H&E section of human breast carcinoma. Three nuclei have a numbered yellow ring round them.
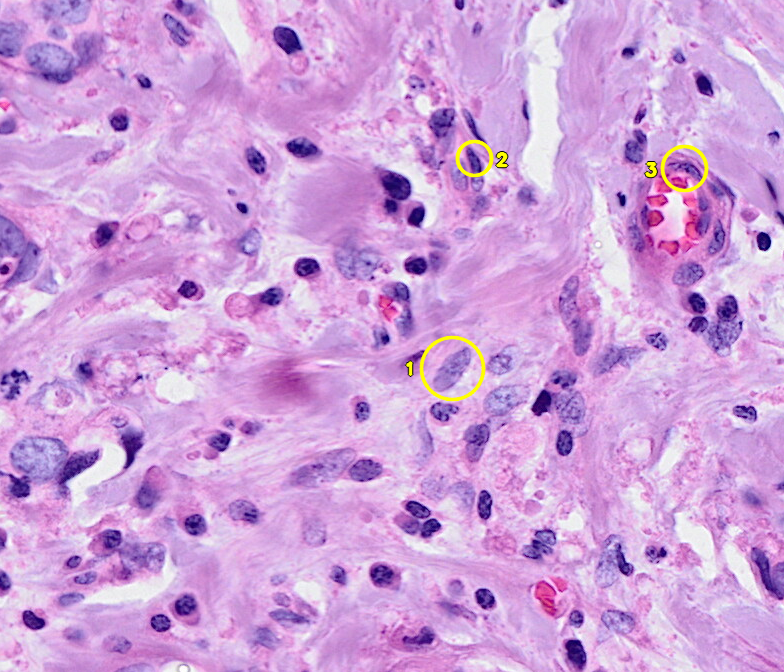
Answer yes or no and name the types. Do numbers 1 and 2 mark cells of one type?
No; cell 1 is a fibroblast, and cell 2 is an endothelial cell.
